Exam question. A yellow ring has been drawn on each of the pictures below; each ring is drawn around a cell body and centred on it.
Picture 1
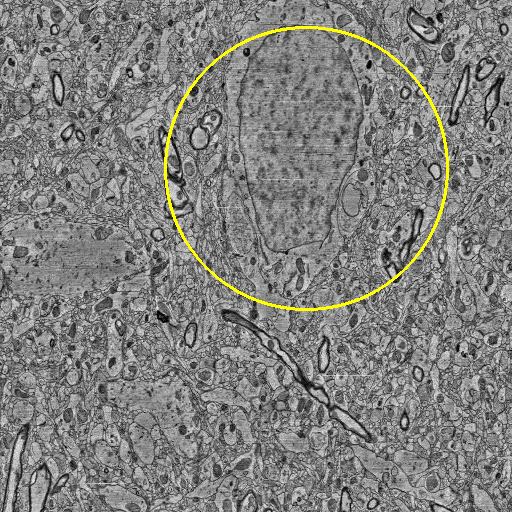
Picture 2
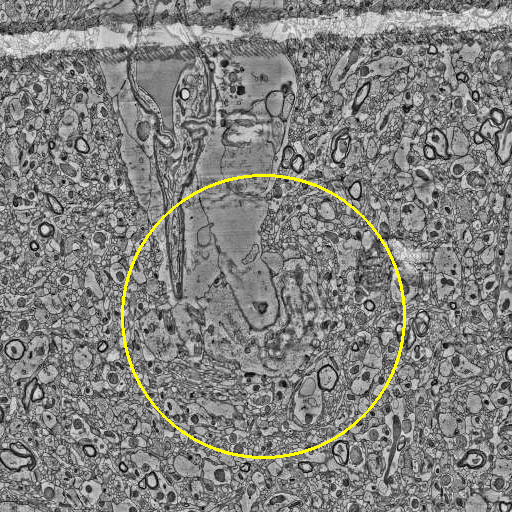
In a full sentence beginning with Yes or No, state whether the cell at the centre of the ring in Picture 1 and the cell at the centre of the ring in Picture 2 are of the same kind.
Yes, the two cells are of the same kind.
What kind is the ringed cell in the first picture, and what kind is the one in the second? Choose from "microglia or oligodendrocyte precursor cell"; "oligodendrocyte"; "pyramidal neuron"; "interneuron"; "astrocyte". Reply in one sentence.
Each of the two rings surrounds an interneuron.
